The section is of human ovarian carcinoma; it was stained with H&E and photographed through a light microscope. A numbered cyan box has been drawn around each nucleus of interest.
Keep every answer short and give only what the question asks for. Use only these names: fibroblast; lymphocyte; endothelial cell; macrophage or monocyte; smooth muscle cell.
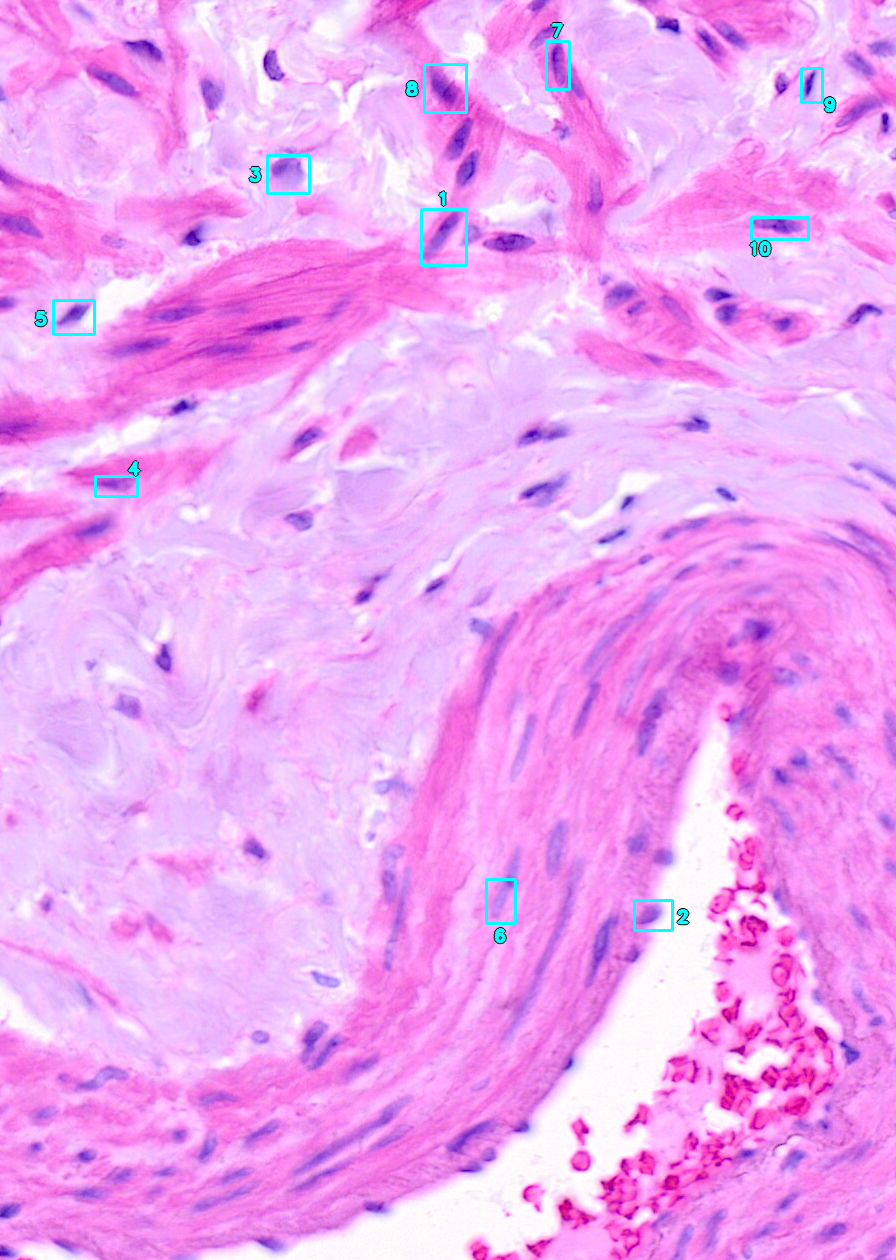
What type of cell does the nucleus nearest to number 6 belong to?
smooth muscle cell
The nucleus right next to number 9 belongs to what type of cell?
macrophage or monocyte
